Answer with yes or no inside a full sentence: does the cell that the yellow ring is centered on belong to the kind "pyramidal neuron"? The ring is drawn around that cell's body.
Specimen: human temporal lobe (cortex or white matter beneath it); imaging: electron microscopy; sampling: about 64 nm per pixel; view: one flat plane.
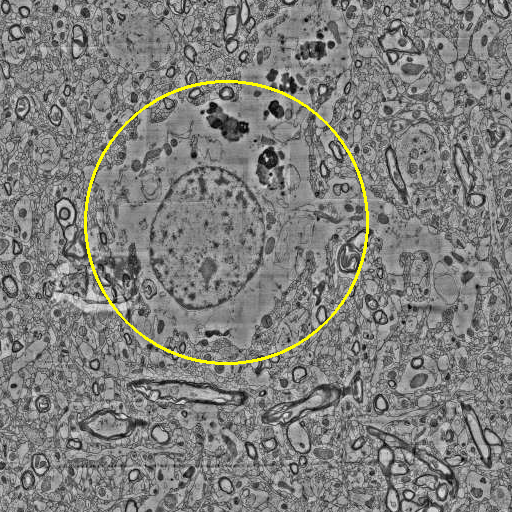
No, another kind describes the cell the yellow ring is centered on in the picture.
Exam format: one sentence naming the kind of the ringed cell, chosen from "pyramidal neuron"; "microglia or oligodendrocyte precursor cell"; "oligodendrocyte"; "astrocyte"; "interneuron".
This picture has an astrocyte at the centre of its ring.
